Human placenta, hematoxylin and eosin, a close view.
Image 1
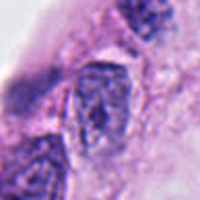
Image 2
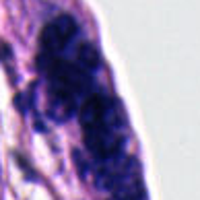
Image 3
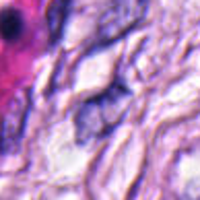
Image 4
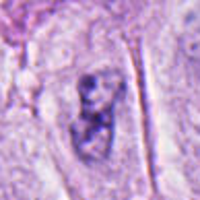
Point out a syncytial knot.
That is picture 2.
